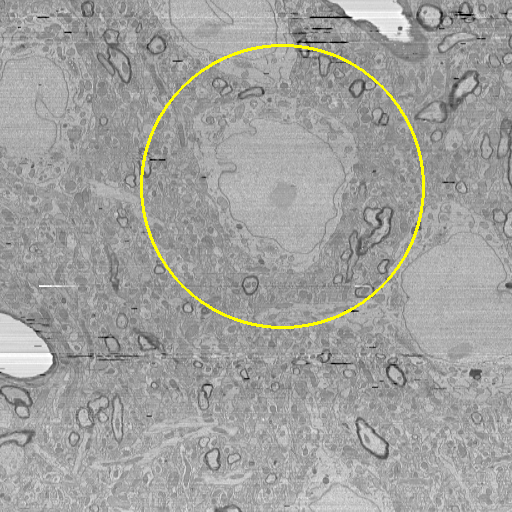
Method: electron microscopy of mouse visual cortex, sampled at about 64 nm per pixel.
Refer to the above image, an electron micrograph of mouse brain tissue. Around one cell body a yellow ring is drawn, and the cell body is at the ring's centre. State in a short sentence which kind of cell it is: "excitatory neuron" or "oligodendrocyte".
The centre of the ring falls on an excitatory neuron.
